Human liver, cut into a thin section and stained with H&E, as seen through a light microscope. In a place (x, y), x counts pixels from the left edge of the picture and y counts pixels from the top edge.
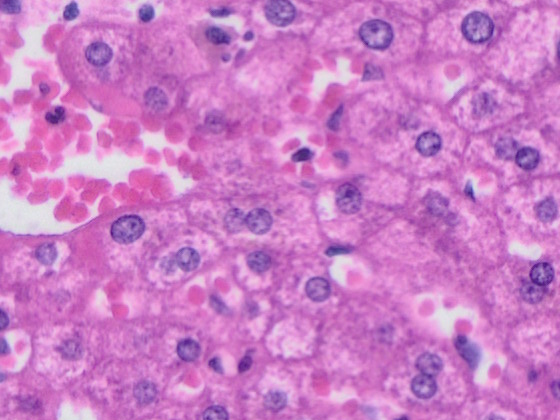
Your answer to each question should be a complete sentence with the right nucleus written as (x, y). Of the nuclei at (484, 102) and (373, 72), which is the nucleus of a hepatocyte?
It is the nucleus at (484, 102) that belongs to a hepatocyte.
